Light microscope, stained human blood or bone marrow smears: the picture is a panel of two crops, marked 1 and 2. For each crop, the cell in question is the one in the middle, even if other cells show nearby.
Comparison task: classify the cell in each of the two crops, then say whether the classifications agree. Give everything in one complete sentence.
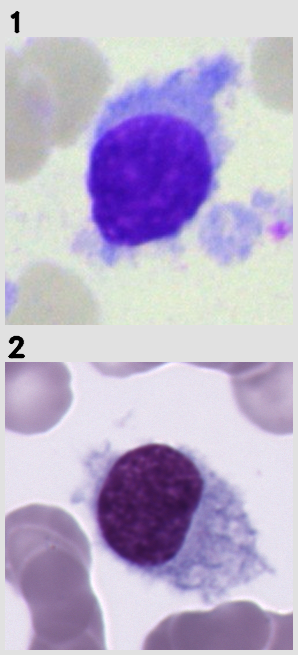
Yes, with regard to both crops, the central cells are hairy cells.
